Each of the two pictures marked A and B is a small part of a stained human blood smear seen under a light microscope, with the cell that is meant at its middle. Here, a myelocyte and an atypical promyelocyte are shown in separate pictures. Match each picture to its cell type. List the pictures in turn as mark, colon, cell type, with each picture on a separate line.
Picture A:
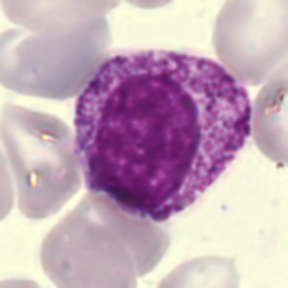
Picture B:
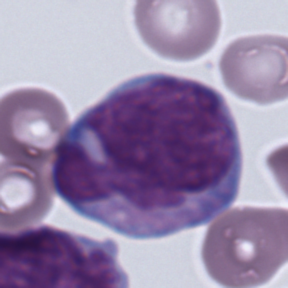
A: myelocyte
B: atypical promyelocyte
